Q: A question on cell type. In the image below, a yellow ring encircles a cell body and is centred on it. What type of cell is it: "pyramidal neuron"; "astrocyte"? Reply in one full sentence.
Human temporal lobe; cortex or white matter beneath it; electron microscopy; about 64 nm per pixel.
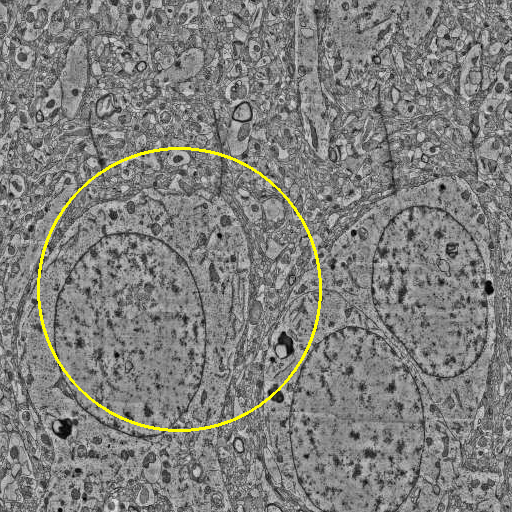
It is a pyramidal neuron whose cell body sits at the centre of the yellow ring in the image.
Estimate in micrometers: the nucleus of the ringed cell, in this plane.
The nucleus appears roughly 13 by 10 micrometres in this plane.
